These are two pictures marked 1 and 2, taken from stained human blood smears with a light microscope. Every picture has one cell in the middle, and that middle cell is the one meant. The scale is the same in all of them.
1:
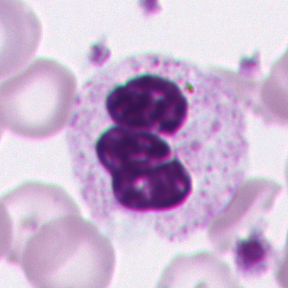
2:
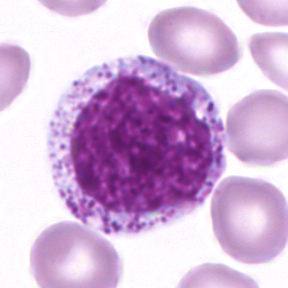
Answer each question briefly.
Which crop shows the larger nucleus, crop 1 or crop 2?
2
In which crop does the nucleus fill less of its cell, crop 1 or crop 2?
1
